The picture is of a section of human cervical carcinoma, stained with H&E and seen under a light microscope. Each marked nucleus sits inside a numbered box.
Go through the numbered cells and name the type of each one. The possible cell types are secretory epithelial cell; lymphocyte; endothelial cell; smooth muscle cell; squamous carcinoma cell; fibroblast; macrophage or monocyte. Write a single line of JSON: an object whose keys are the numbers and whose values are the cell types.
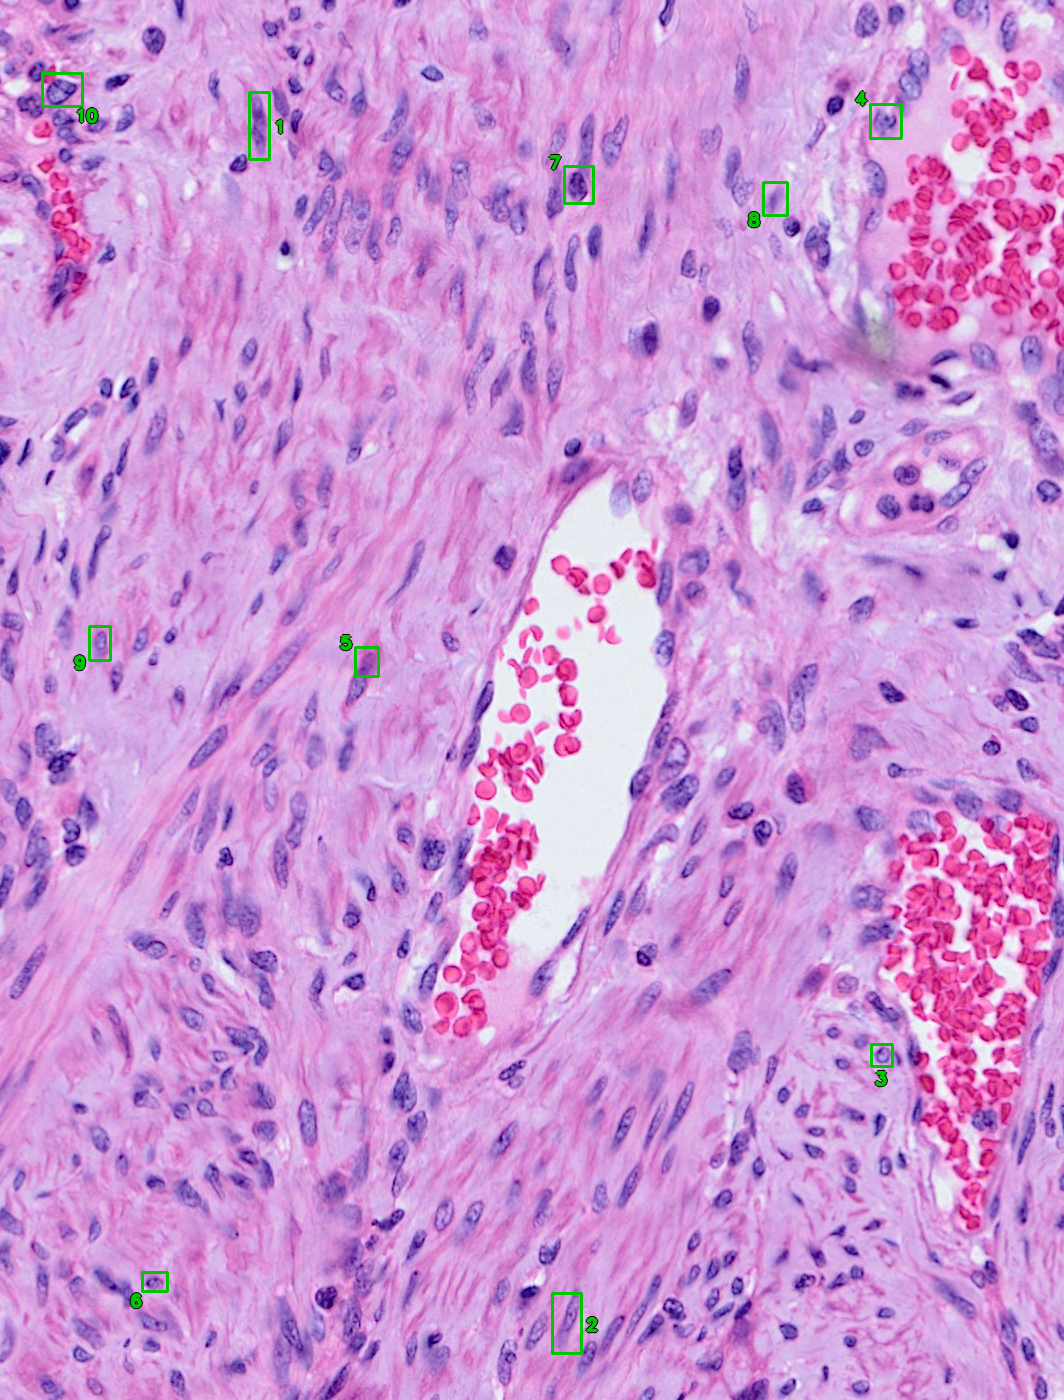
{"1": "smooth muscle cell", "2": "smooth muscle cell", "3": "smooth muscle cell", "4": "endothelial cell", "5": "smooth muscle cell", "6": "smooth muscle cell", "7": "lymphocyte", "8": "fibroblast", "9": "smooth muscle cell", "10": "endothelial cell"}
